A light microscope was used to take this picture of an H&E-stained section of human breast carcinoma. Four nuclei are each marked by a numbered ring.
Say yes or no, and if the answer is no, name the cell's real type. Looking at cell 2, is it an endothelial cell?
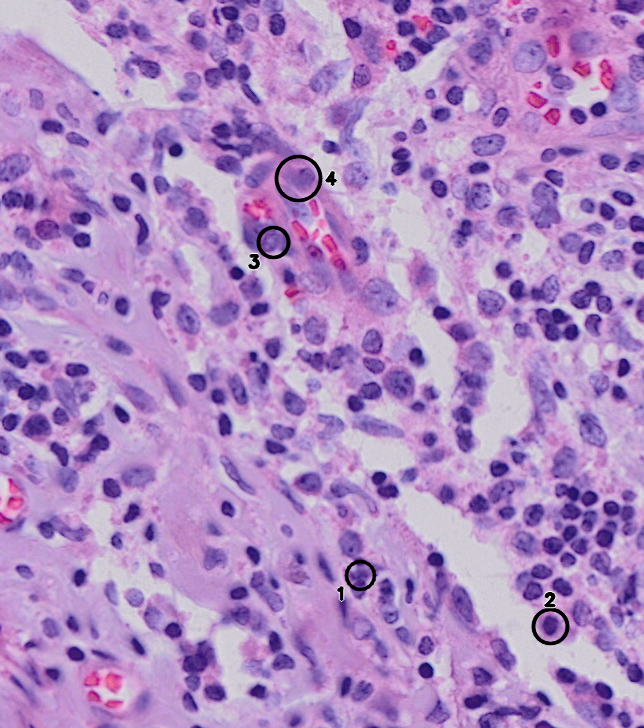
No, it is a lymphocyte.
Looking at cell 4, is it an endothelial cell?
Yes.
